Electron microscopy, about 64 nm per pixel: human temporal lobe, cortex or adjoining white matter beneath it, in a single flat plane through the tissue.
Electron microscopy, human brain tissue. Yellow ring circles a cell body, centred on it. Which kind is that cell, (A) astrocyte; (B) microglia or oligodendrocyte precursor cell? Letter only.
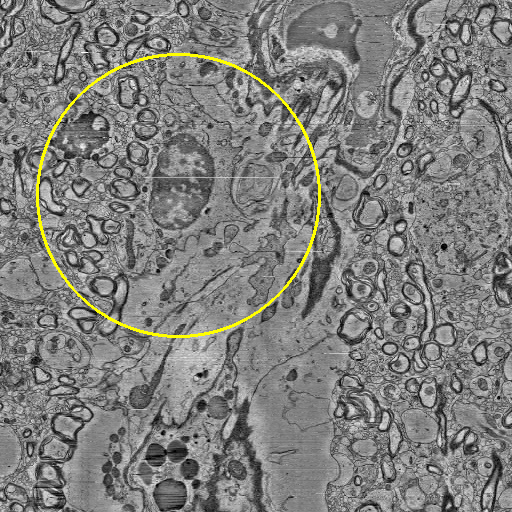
B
